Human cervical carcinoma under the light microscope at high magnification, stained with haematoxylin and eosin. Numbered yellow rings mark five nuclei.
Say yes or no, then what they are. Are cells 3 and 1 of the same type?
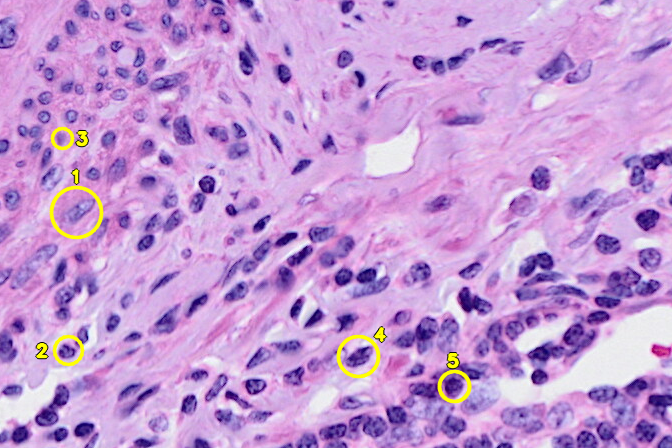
Yes, cells 3 and 1 are both smooth muscle cells in this section.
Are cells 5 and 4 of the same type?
Yes, cells 5 and 4 are both to be classed as lymphocytes.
